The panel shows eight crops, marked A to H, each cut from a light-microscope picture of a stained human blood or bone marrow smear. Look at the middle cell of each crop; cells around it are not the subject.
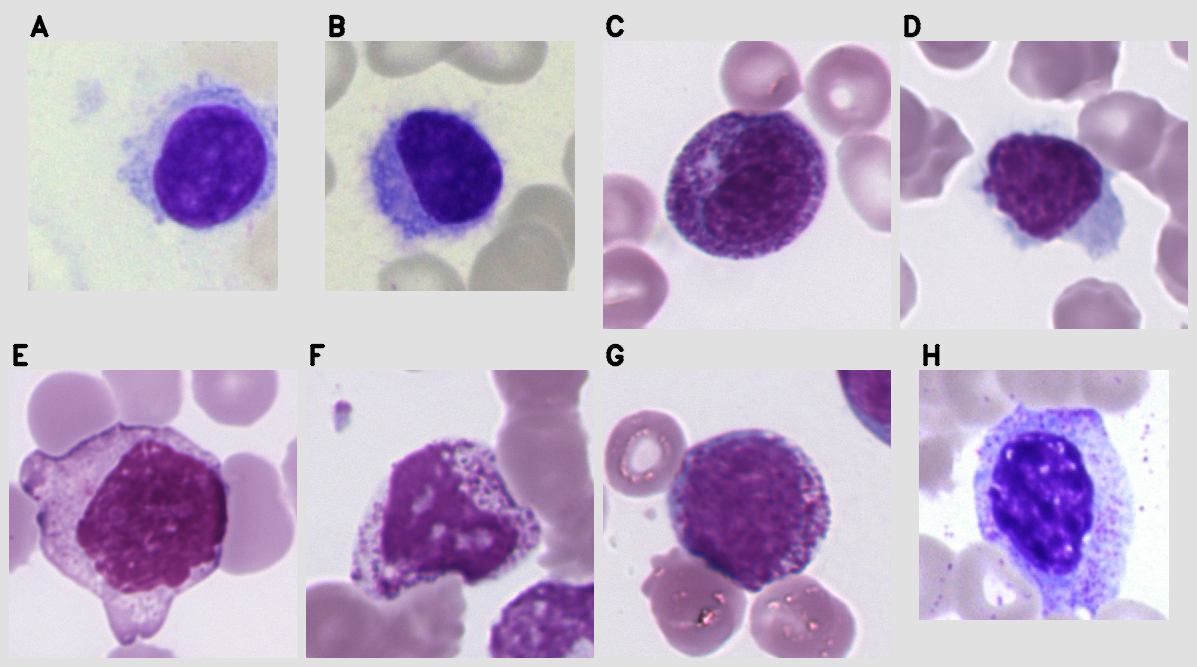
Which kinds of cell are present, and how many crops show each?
myelocyte: 5
hairy cell: 3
